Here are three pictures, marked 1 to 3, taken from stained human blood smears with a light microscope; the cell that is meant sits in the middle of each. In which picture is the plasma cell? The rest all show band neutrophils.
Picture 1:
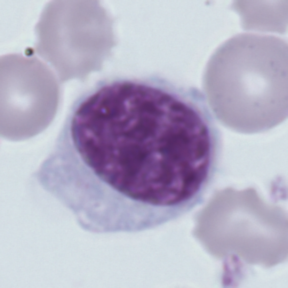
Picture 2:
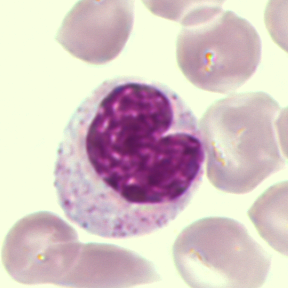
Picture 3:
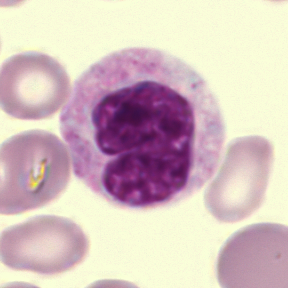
1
